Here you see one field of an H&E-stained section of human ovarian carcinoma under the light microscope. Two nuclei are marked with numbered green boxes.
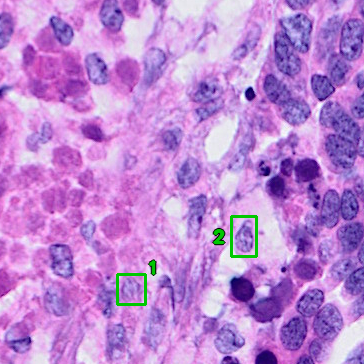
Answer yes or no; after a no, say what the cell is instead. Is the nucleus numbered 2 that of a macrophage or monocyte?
Yes.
